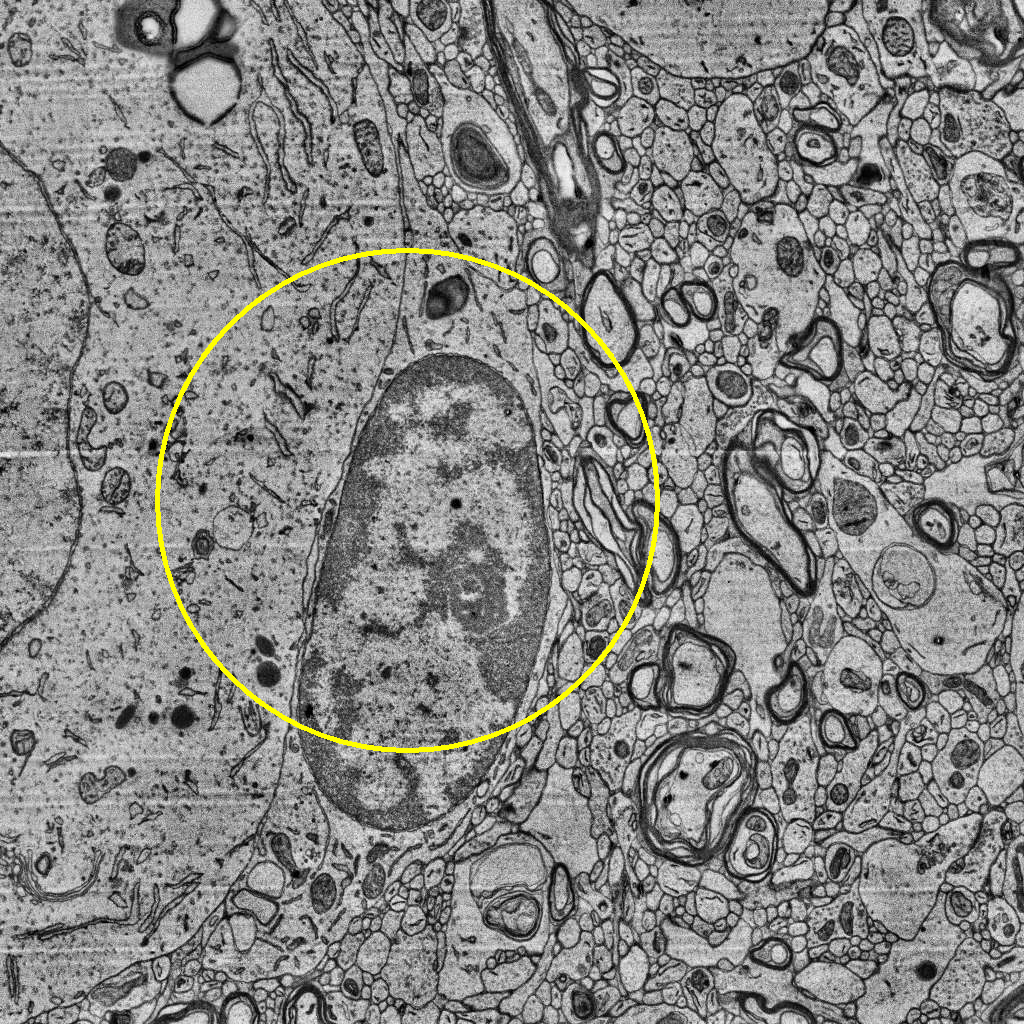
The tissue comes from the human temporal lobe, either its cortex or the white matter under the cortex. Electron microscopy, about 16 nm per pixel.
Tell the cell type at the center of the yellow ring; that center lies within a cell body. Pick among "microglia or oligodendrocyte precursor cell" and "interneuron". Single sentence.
The ring's center lies in the body of a microglial cell or oligodendrocyte precursor cell.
